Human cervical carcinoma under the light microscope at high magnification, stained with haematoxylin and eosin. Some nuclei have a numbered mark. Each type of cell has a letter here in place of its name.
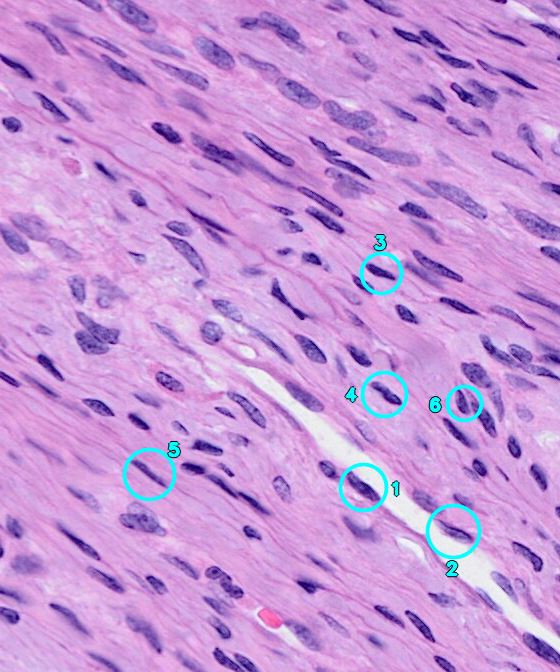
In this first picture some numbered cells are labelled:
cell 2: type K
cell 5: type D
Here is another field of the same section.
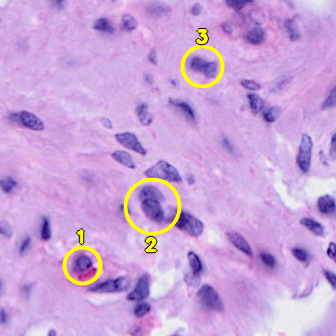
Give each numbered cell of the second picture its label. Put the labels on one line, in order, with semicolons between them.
type K; type D; type D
